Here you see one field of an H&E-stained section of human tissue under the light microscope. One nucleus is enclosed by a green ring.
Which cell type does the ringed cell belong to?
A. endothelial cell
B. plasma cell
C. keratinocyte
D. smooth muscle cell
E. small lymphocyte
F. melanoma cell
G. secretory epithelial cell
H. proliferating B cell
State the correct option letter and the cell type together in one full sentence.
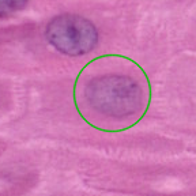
The accurate option is C, with the ringed cell being a keratinocyte.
